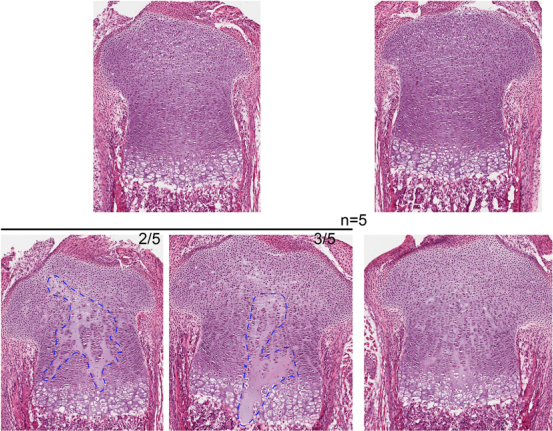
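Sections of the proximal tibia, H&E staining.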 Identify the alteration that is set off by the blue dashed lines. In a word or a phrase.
Acellular cartilage areas.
